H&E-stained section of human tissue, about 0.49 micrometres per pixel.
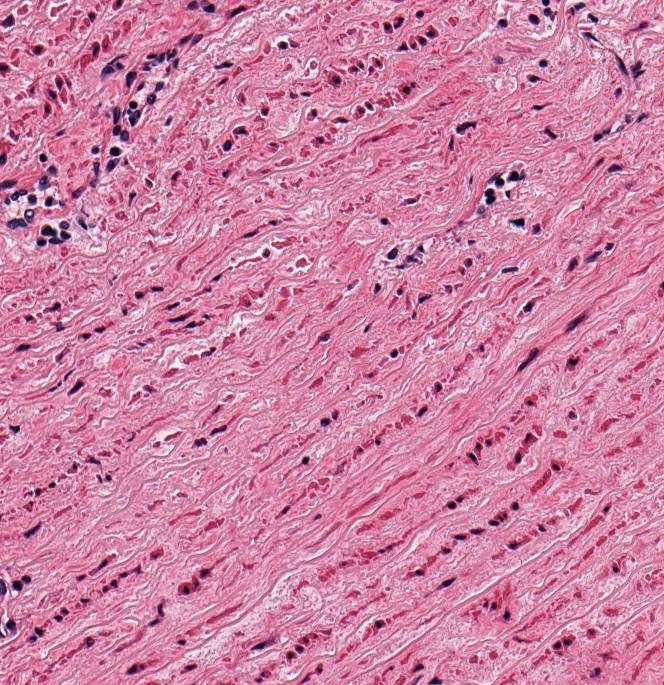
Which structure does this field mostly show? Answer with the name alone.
tunica media of an artery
